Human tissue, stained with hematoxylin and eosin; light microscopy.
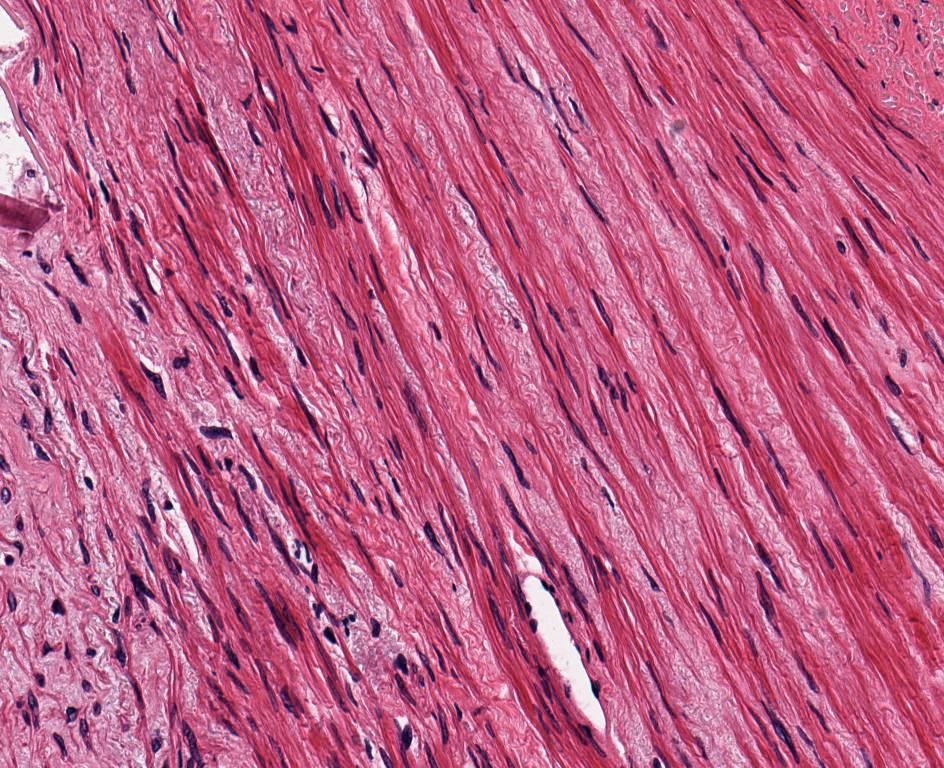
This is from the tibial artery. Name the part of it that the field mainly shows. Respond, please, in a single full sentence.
On this slide, the tissue part is known as tunica media.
